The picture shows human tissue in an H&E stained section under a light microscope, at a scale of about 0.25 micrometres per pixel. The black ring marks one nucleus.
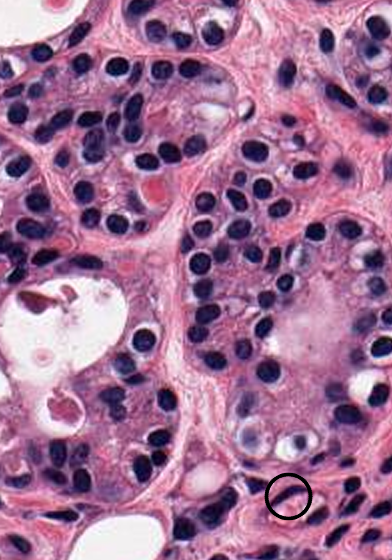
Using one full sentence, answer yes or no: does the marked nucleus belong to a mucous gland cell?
No, the owner of the marked nucleus is a supporting cell, not a mucous gland cell.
